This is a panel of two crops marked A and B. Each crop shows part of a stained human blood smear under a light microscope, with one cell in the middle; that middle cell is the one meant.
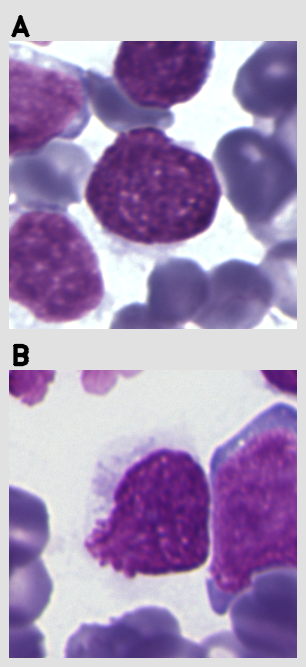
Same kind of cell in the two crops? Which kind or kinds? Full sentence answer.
No, the cell centred in crop A is a myeloblast, and that centred in crop B is a smudge cell.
